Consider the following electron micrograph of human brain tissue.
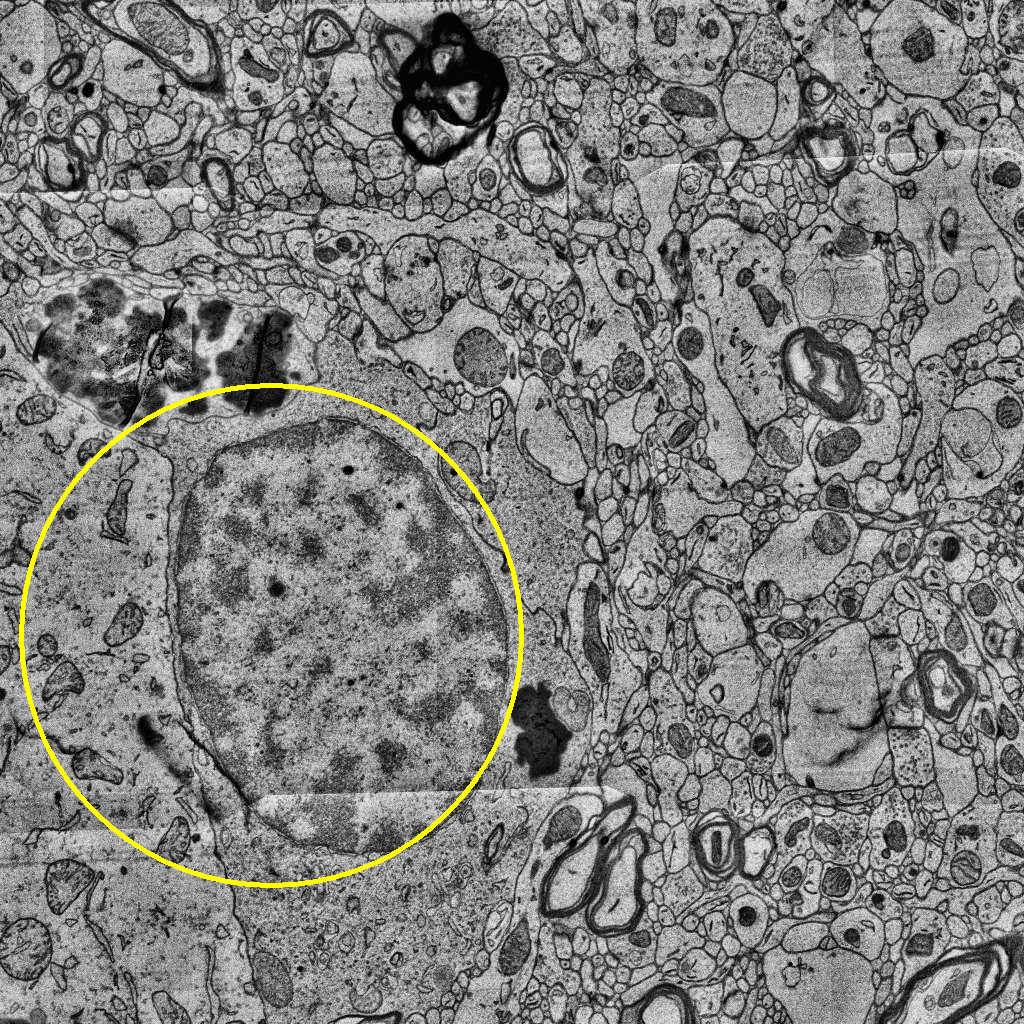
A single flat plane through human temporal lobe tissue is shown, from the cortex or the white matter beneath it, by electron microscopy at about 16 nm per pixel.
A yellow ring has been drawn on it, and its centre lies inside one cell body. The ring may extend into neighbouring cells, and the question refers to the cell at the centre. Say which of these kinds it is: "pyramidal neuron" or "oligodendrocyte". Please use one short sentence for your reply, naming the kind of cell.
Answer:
The centre of the ring falls on an oligodendrocyte.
